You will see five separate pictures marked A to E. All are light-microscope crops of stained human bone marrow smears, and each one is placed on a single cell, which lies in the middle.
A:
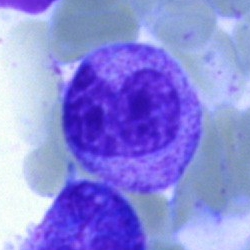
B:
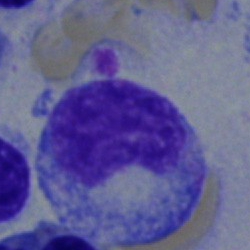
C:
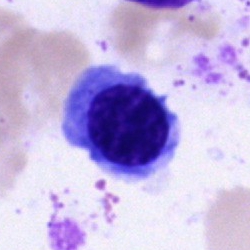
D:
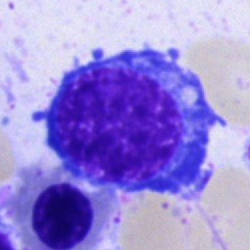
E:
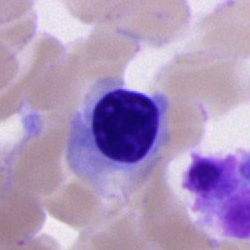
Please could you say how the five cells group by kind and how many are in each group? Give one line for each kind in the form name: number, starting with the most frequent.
erythroblast: 3
metamyelocyte: 2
